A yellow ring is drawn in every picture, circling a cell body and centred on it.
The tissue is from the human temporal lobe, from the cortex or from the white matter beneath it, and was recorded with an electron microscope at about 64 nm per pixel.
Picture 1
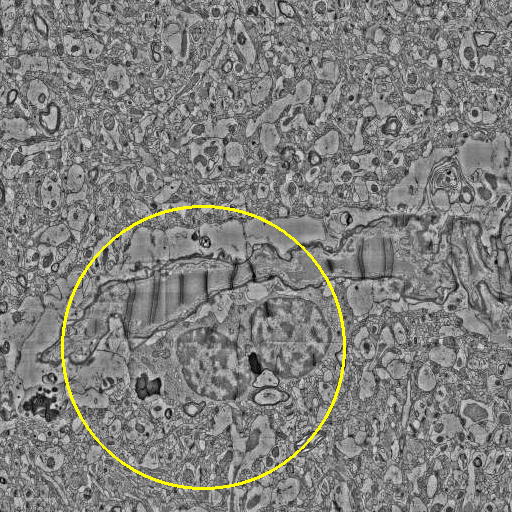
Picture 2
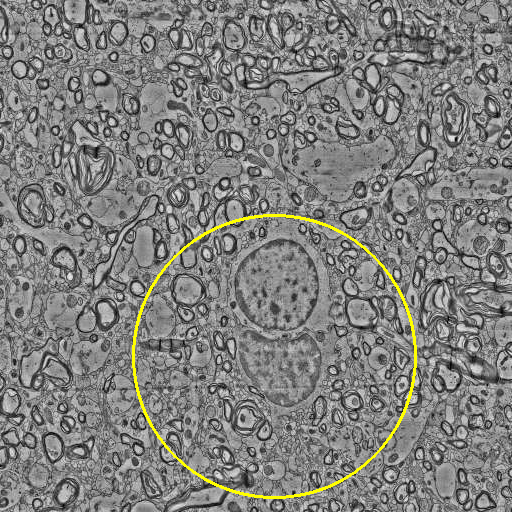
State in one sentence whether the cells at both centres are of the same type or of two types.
The cells at the two ring centres, one per picture, are of the same type.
